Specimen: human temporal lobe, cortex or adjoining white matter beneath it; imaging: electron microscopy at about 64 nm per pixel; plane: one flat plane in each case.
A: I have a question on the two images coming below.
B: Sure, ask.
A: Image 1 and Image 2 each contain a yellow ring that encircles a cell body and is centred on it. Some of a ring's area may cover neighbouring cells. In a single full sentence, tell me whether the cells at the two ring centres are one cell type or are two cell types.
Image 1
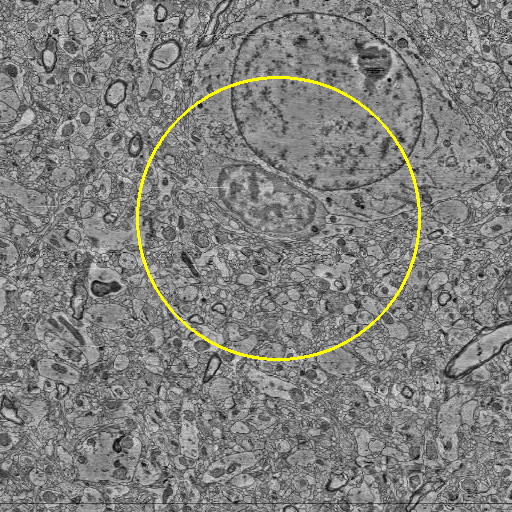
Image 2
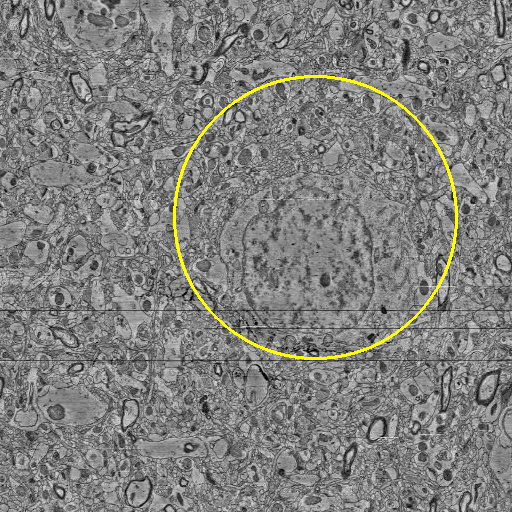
As for the ring-centre cells, the one in Image 1 and the one in Image 2 are two cell types.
